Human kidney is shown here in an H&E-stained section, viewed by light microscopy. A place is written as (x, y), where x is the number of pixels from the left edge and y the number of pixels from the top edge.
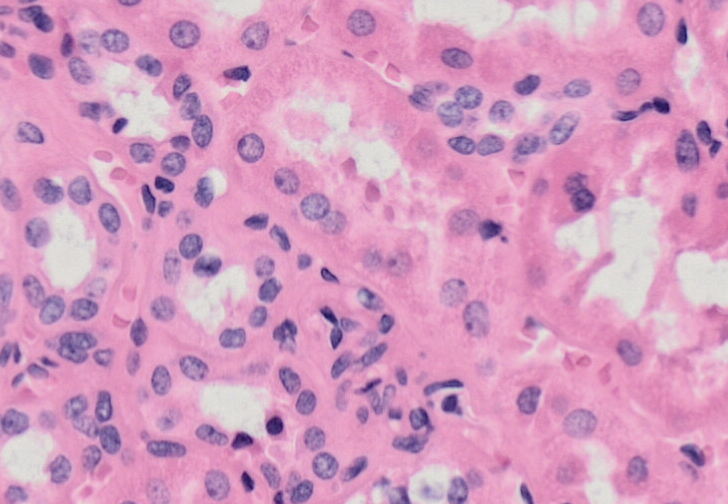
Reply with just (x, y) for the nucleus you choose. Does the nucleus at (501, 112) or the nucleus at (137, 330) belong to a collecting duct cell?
(501, 112)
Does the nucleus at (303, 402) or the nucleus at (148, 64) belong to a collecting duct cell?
(148, 64)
